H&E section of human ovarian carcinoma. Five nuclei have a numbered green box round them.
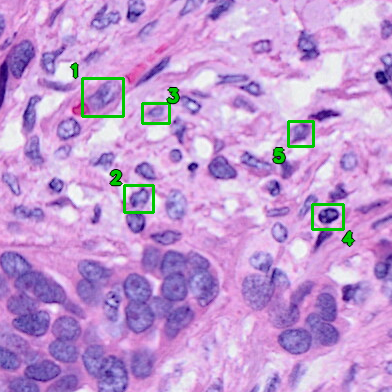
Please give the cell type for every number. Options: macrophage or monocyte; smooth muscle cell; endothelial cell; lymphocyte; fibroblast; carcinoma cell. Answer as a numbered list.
1. endothelial cell
2. fibroblast
3. fibroblast
4. lymphocyte
5. fibroblast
